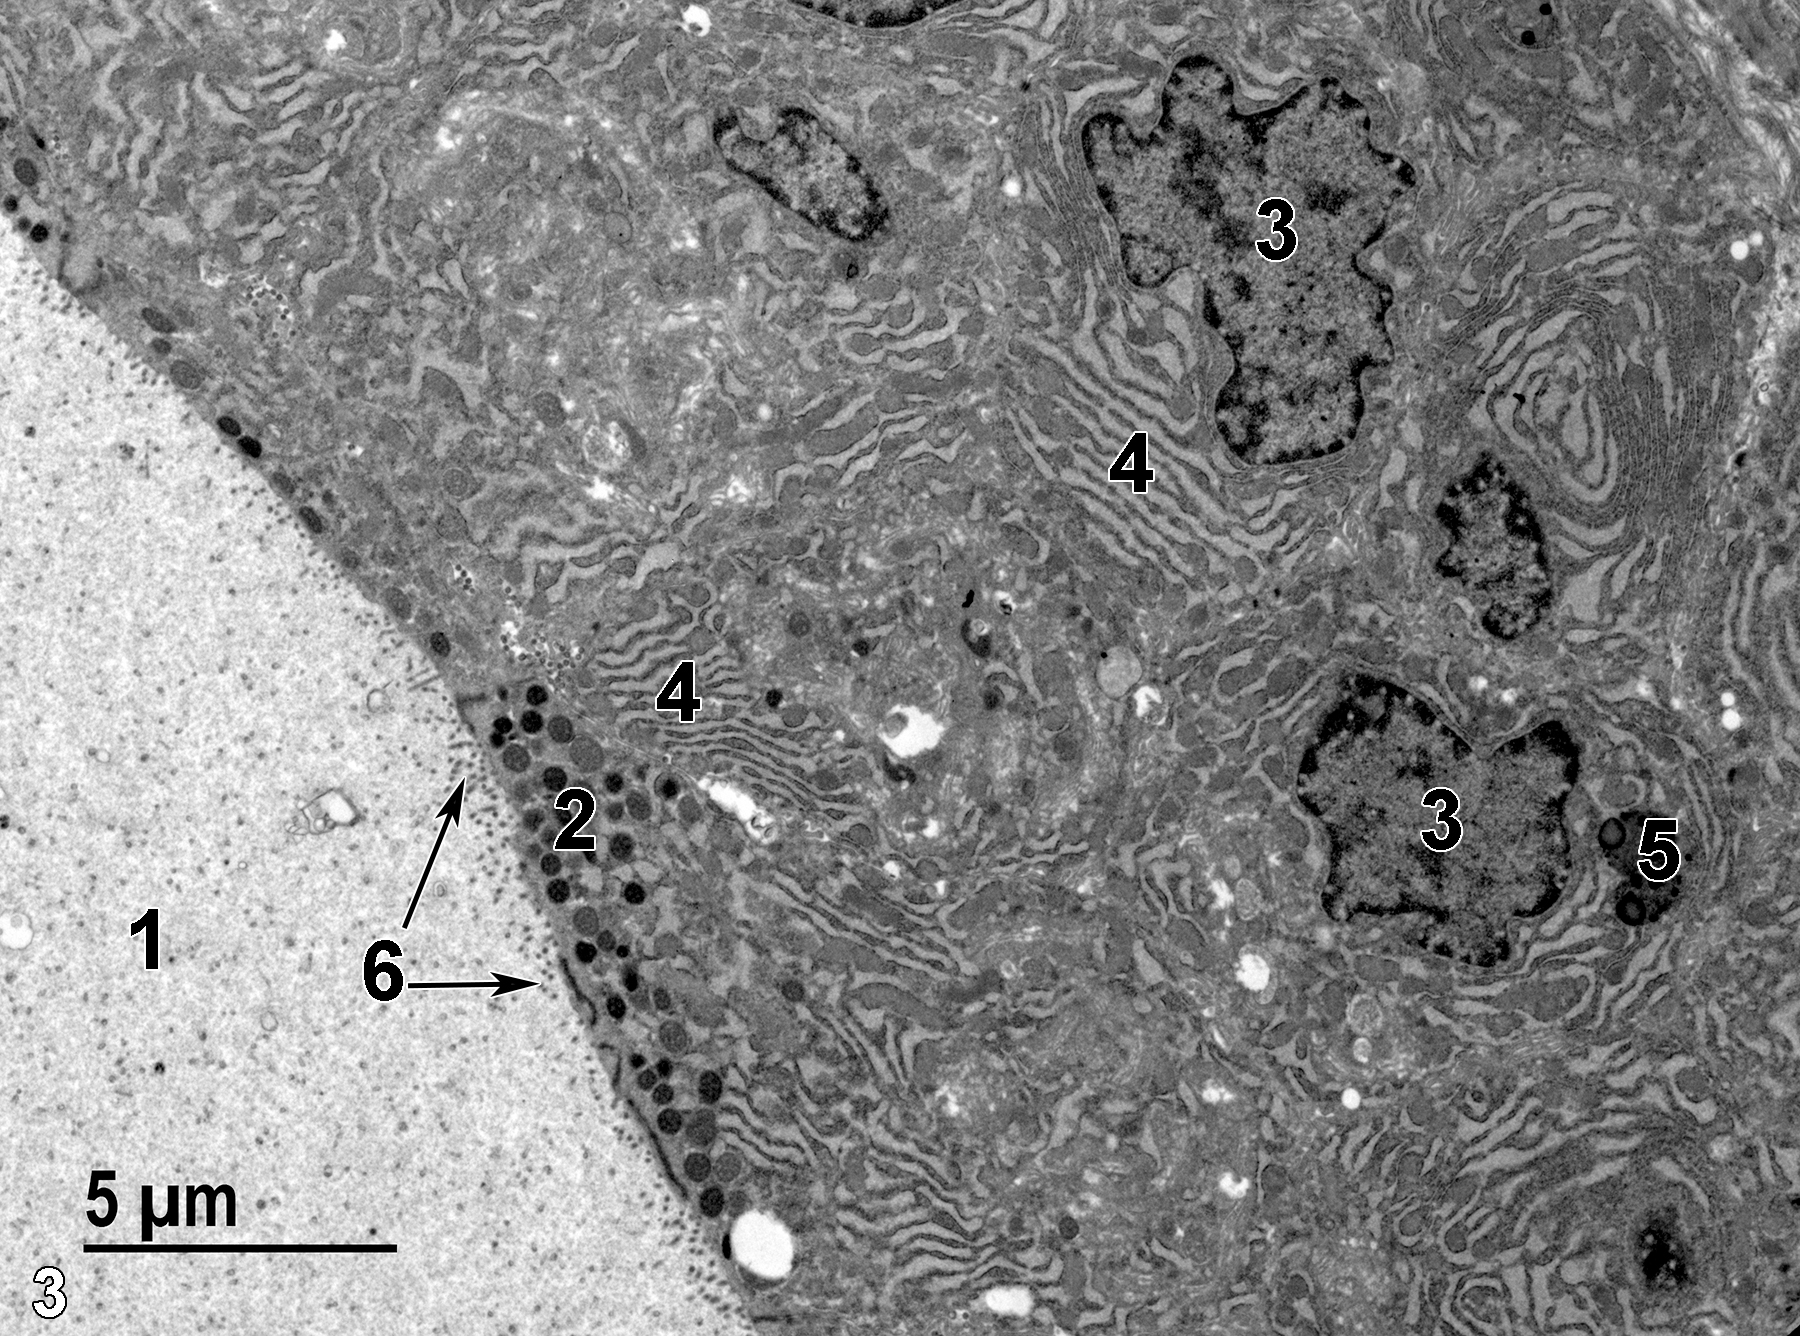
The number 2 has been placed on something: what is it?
2 marks the apical secretory granules.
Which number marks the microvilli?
6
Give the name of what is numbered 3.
Basal nuclei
